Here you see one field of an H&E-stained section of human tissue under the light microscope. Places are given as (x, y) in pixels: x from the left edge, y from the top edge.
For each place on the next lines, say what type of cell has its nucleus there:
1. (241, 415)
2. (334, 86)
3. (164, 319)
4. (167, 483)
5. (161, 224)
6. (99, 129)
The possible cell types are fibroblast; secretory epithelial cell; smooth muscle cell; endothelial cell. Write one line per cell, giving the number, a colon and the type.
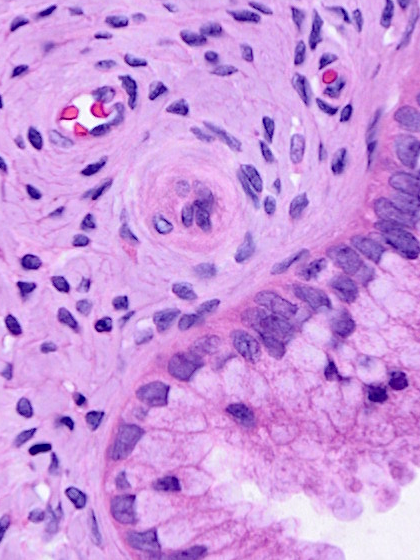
1: secretory epithelial cell
2: endothelial cell
3: fibroblast
4: secretory epithelial cell
5: smooth muscle cell
6: endothelial cell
